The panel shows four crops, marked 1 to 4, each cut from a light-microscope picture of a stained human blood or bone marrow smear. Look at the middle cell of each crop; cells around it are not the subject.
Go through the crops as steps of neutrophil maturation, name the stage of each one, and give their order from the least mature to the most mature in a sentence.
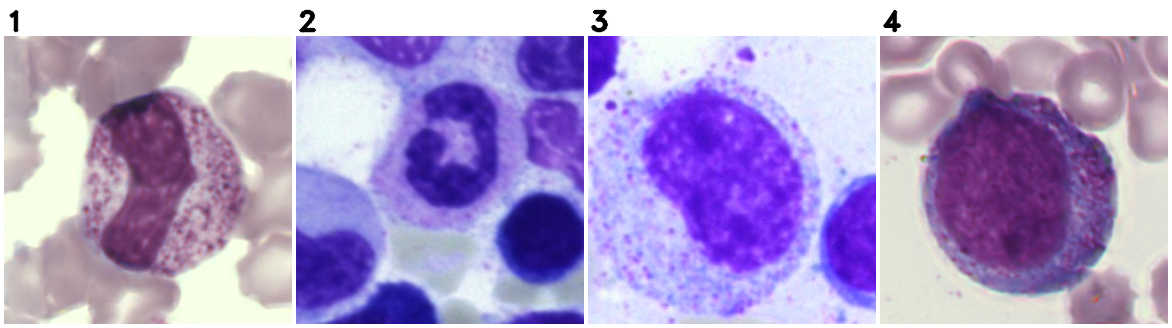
In ascending order of maturity, the cells are crop 4 (a promyelocyte), crop 3 (a metamyelocyte), crop 1 (a band neutrophil) and crop 2 (a segmented neutrophil).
